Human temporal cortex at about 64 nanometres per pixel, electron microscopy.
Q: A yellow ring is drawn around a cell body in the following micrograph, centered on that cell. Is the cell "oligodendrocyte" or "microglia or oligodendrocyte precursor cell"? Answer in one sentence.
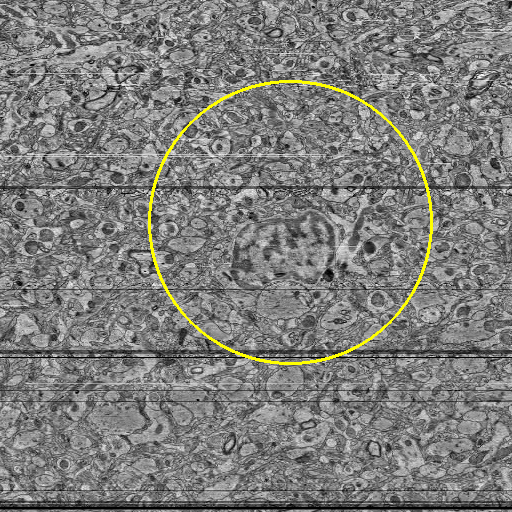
The cell in the center of the ring is a microglial cell or oligodendrocyte precursor cell.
